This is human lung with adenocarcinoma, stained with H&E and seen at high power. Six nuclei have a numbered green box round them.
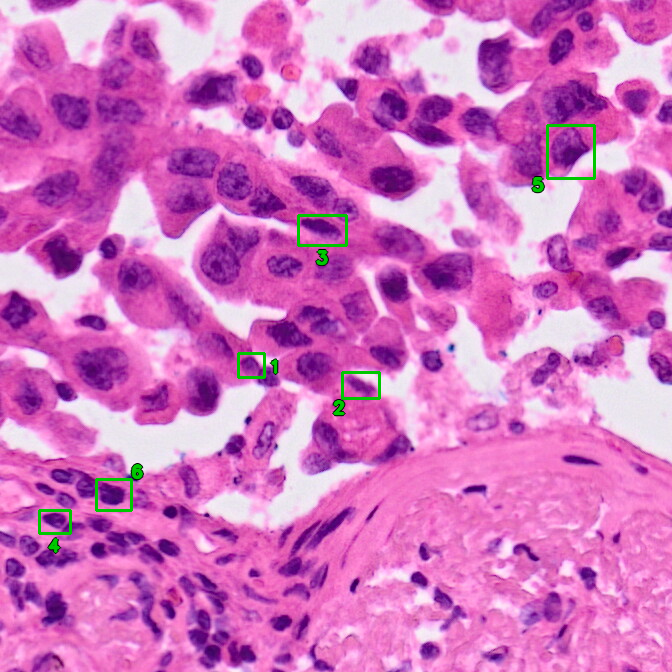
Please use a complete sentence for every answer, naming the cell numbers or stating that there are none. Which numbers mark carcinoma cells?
Classified as carcinoma cells are the cells numbered 1, 2, 3 and 5.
